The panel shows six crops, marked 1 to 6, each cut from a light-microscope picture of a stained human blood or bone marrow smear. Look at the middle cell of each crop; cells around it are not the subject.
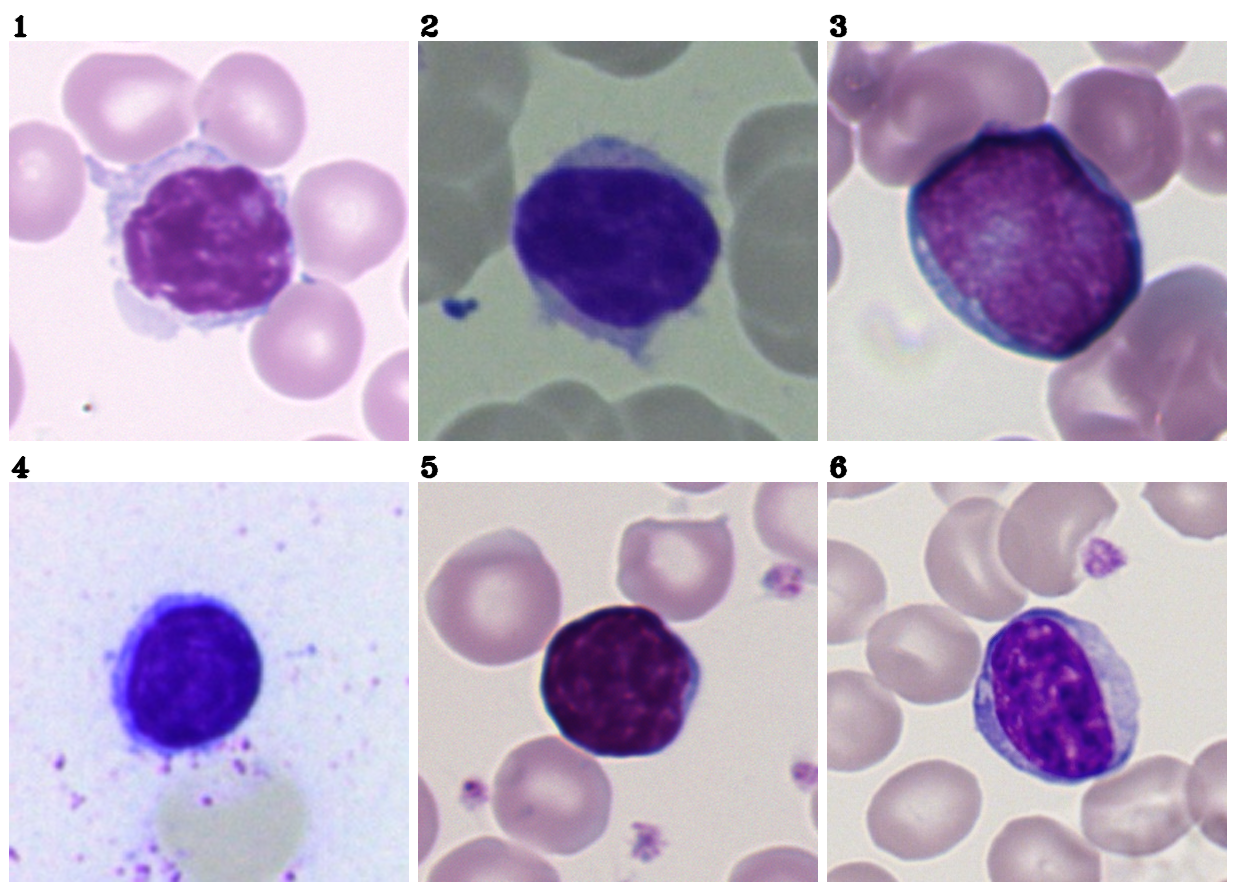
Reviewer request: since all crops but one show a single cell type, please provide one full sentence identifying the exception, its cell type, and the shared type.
Crop 3, showing a blast, is the exception; the others all show lymphocytes.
